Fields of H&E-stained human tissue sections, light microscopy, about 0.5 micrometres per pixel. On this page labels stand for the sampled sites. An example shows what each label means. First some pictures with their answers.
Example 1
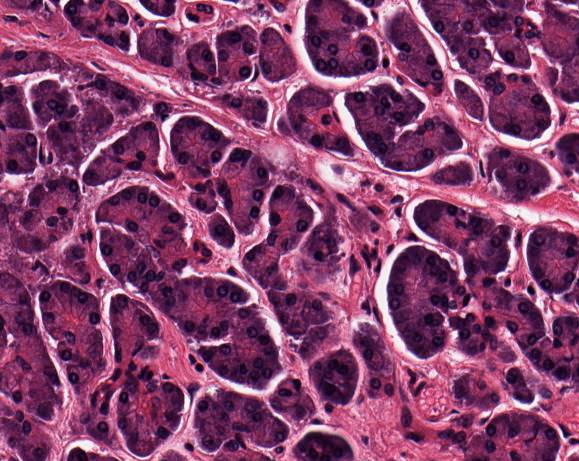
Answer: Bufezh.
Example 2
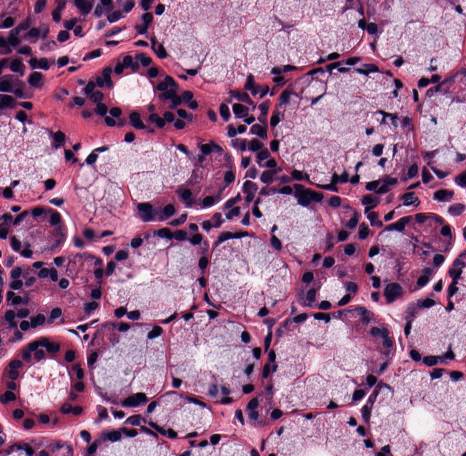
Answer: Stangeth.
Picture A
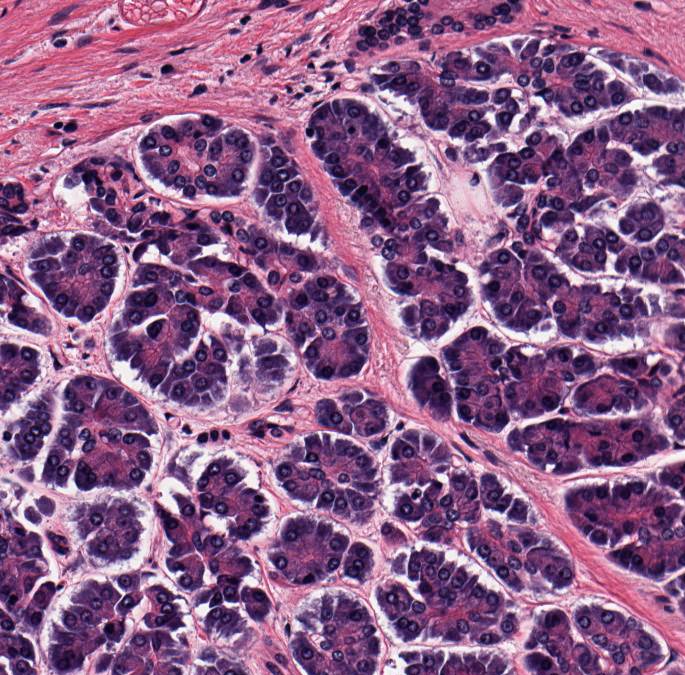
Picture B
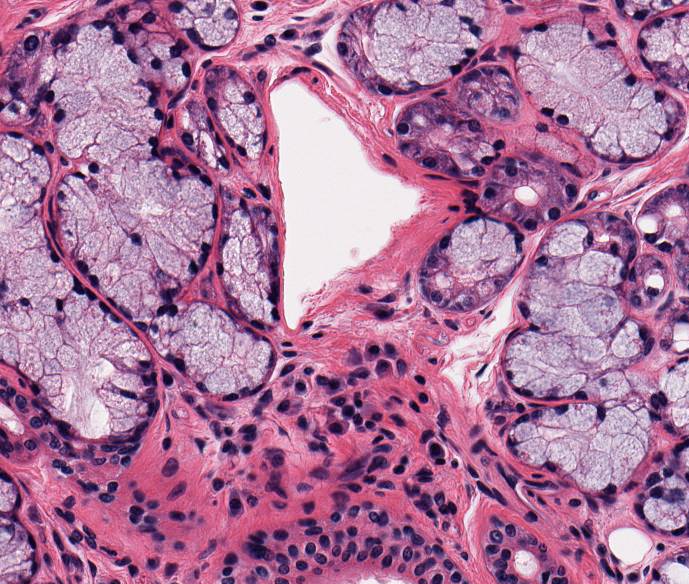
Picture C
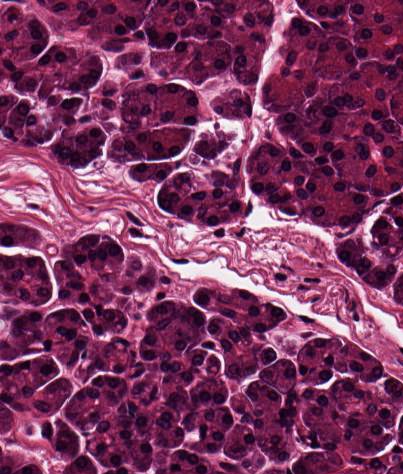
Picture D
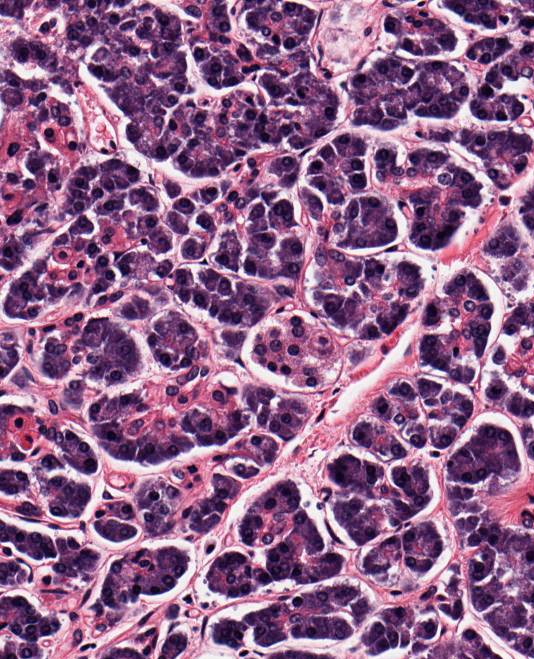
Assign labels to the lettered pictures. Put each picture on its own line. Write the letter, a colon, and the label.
A: Bufezh.
B: Stangeth.
C: Bufezh.
D: Bufezh.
